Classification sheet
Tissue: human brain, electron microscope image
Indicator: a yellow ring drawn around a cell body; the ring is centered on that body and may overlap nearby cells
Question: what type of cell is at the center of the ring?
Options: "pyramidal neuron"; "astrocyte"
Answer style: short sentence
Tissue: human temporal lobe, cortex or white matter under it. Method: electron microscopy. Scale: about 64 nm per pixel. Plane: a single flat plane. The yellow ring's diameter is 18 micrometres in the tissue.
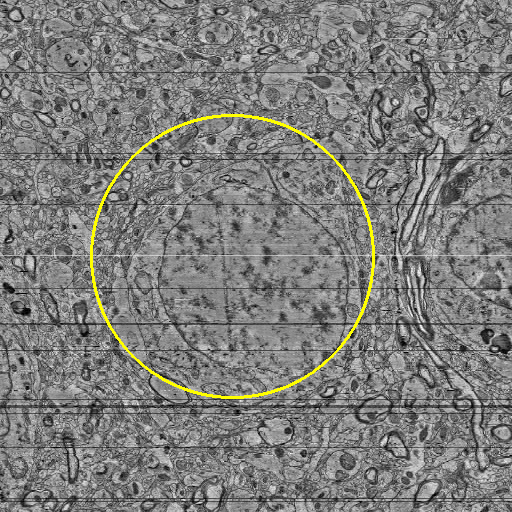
At the ring's center is a pyramidal neuron.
